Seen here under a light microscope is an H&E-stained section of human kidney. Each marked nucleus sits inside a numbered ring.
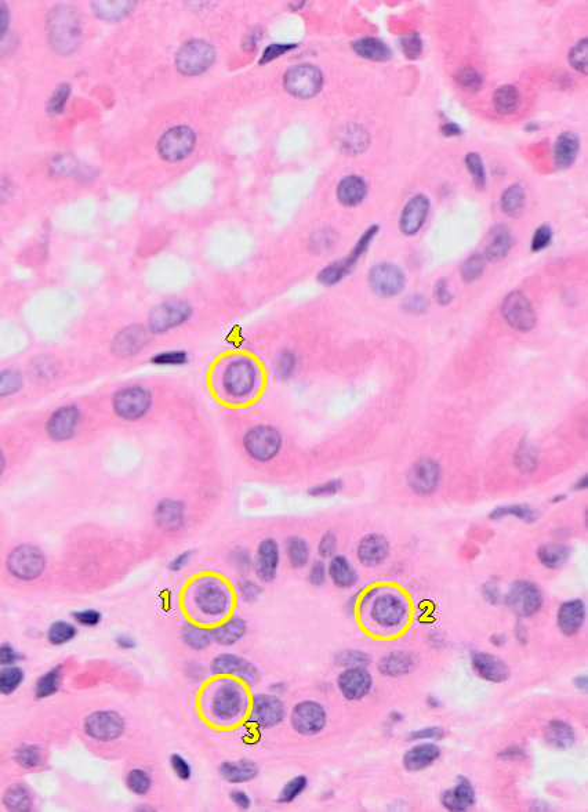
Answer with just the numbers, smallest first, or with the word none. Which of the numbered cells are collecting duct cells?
1, 2, 3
